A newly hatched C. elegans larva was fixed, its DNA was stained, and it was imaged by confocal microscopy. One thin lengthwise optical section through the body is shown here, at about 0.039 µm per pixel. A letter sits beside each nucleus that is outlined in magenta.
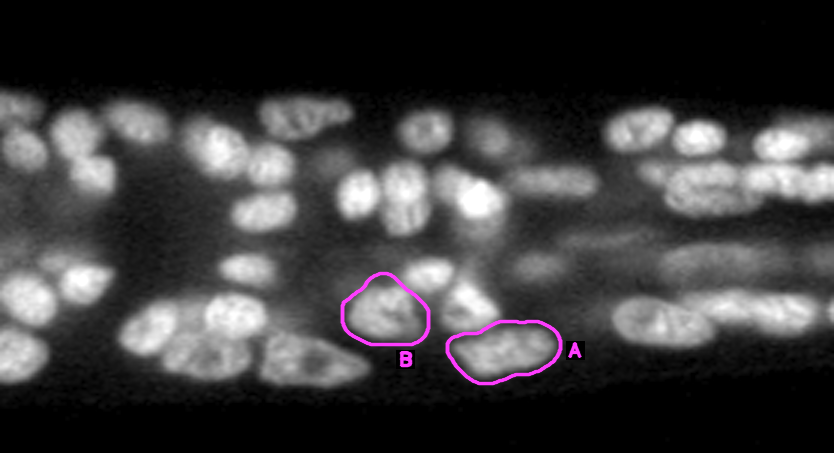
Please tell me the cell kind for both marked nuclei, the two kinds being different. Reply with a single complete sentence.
The nucleus A is that of a hypodermal cell (hyp), while B is that of a pharyngeal muscle cell.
